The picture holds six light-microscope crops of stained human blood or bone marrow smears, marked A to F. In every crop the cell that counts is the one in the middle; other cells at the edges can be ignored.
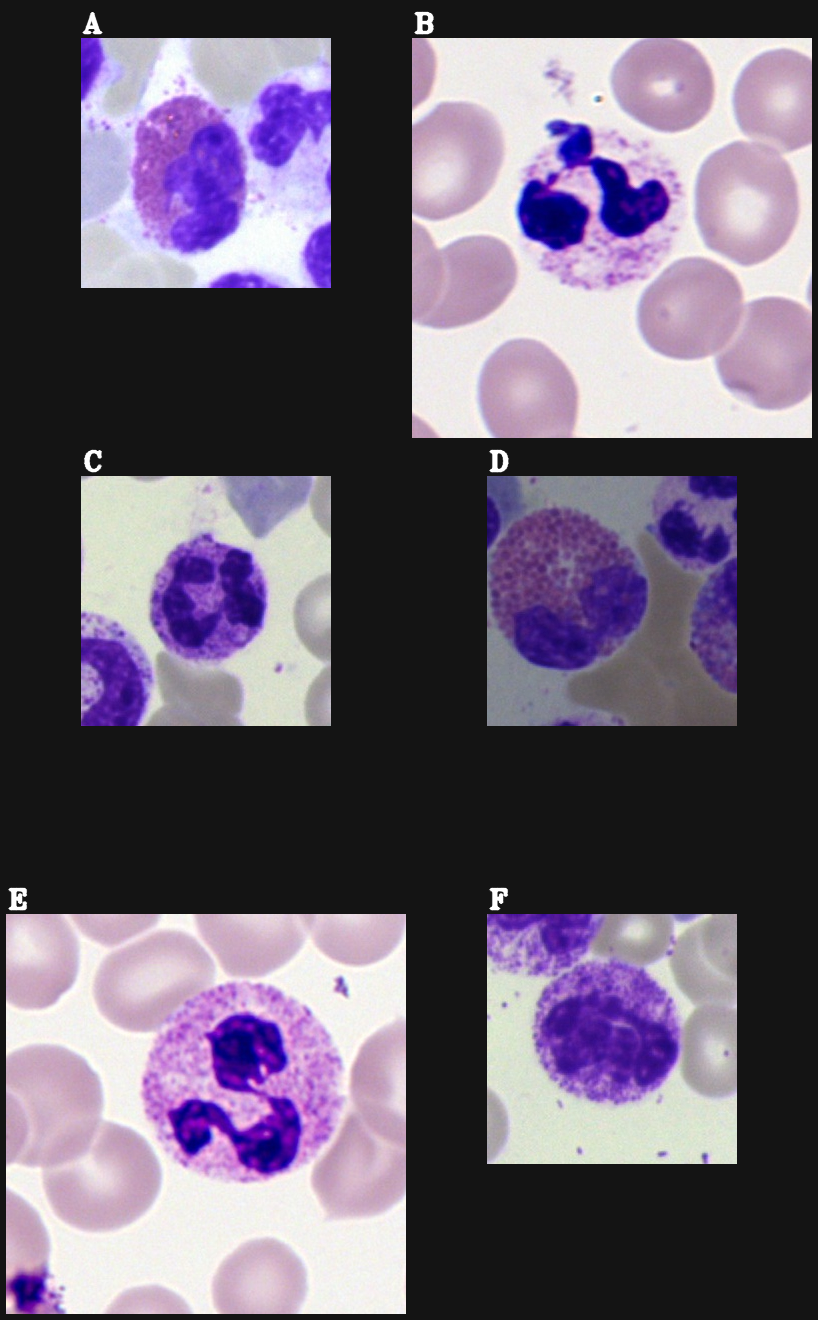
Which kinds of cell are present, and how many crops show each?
segmented neutrophil: 4
eosinophil: 2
